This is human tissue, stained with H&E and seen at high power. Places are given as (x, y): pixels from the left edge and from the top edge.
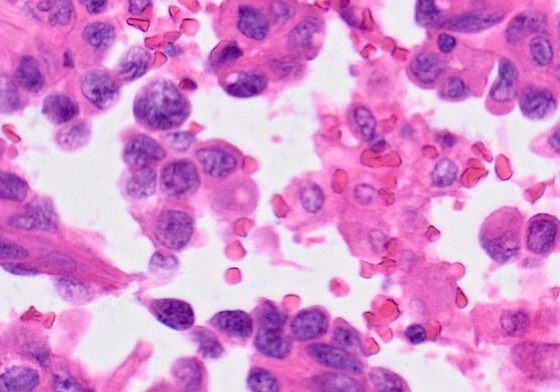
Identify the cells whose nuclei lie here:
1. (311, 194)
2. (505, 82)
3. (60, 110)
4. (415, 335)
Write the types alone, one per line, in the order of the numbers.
macrophage or monocyte
carcinoma cell
carcinoma cell
lymphocyte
